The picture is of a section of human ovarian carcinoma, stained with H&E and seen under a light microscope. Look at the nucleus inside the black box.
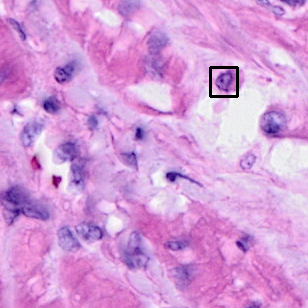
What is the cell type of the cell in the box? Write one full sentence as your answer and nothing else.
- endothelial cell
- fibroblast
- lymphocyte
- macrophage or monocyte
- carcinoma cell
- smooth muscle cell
In terms of identity, the cell in the box is a macrophage or monocyte.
